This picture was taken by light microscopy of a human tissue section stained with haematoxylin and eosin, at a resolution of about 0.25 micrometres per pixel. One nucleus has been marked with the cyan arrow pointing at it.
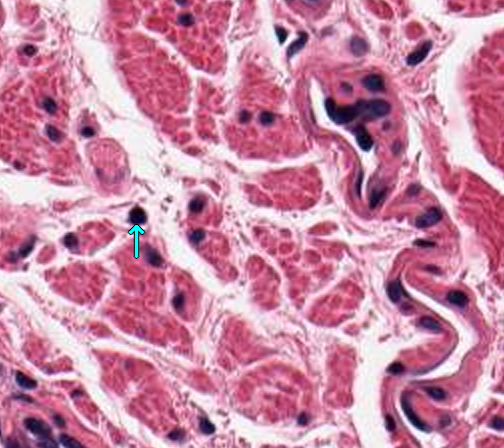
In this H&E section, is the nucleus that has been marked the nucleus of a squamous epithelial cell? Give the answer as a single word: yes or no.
no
